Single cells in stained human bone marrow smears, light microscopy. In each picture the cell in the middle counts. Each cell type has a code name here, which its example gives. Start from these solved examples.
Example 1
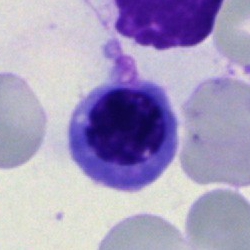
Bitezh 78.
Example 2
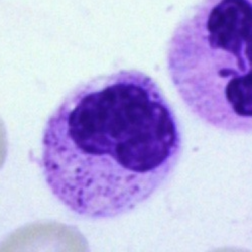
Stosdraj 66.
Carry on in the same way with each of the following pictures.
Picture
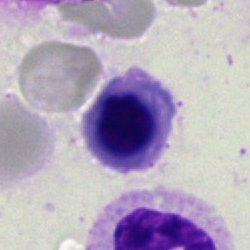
Bitezh 78.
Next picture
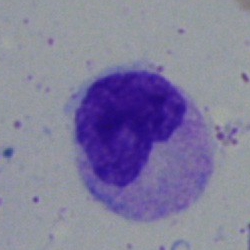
Stosdraj 66.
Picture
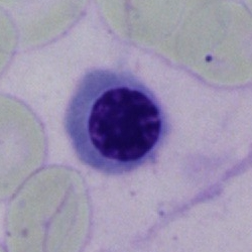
Bitezh 78.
